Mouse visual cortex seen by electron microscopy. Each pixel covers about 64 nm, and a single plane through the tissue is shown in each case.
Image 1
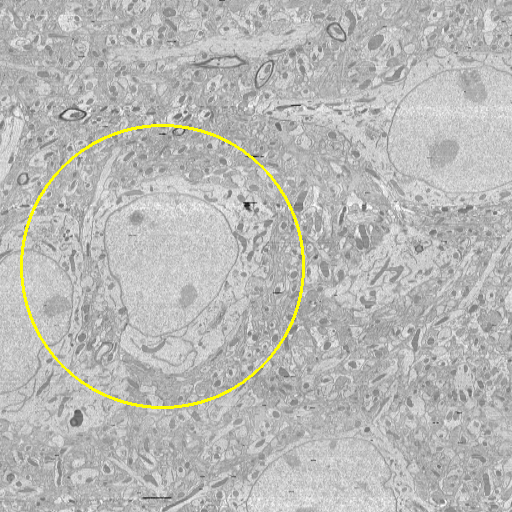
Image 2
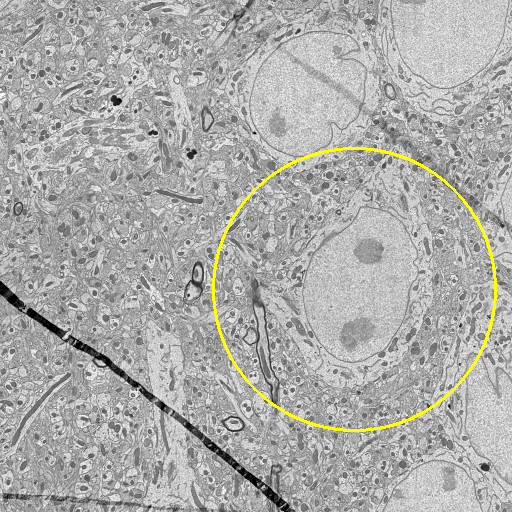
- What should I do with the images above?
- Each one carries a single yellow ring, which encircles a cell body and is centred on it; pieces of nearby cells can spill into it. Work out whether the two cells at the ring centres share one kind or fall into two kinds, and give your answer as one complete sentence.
The ring-centre cells of Image 1 and Image 2 share one kind.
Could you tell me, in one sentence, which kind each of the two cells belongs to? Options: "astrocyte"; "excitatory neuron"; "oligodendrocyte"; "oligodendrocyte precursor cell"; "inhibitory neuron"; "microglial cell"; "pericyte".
The cell at the ring centre is an excitatory neuron in both pictures.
